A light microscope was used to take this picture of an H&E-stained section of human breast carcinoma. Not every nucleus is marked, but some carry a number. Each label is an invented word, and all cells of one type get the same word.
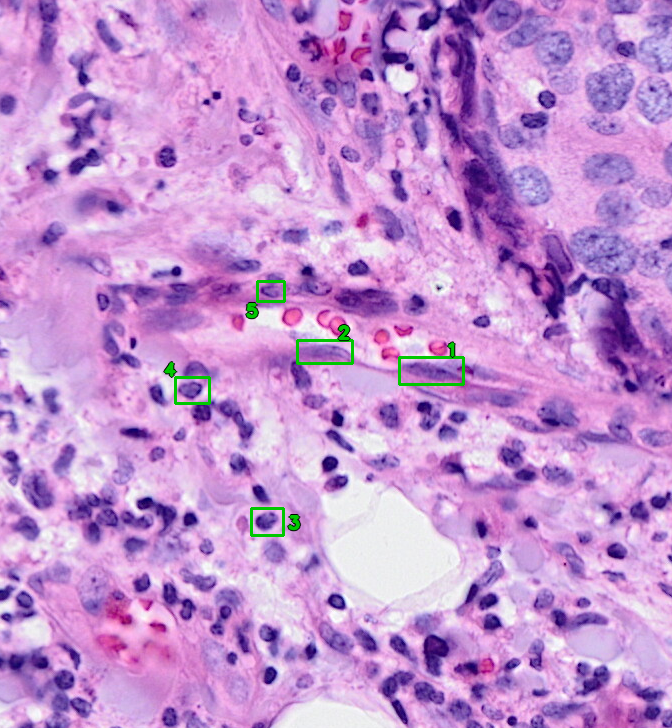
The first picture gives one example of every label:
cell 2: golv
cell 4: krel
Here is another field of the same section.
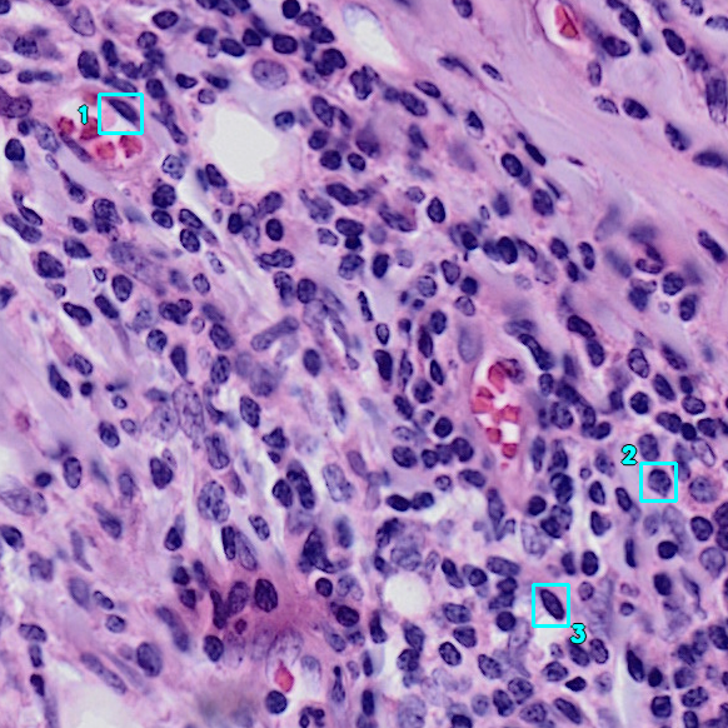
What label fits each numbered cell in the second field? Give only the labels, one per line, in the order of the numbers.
golv
krel
krel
